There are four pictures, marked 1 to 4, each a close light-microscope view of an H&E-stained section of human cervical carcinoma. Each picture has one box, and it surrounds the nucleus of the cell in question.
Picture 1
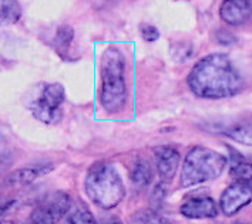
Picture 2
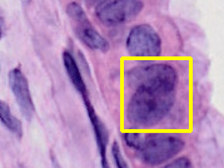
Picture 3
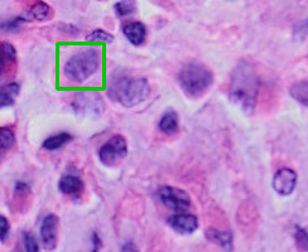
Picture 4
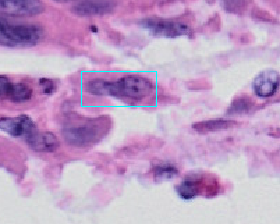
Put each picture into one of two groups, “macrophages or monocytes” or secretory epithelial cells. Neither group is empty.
1: macrophage or monocyte
2: secretory epithelial cell
3: macrophage or monocyte
4: macrophage or monocyte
